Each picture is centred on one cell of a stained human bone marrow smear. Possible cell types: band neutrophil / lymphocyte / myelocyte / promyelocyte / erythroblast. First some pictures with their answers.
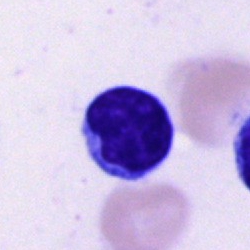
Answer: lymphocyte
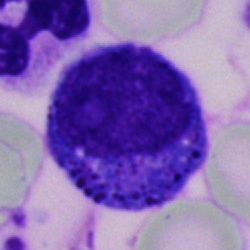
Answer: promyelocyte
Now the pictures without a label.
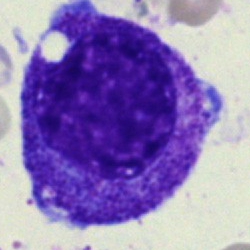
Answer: promyelocyte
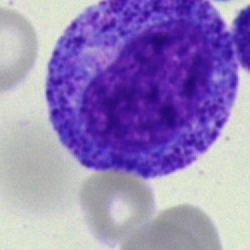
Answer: promyelocyte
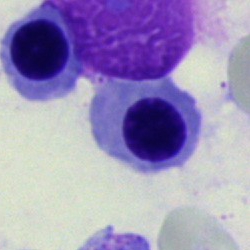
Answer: erythroblast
